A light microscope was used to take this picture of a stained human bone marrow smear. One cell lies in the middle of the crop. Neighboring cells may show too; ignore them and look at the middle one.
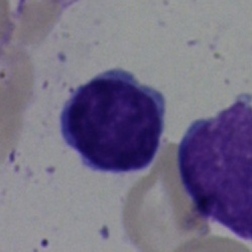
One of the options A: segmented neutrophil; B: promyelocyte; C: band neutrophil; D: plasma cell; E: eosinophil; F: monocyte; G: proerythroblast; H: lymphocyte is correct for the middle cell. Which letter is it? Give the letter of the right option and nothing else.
H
